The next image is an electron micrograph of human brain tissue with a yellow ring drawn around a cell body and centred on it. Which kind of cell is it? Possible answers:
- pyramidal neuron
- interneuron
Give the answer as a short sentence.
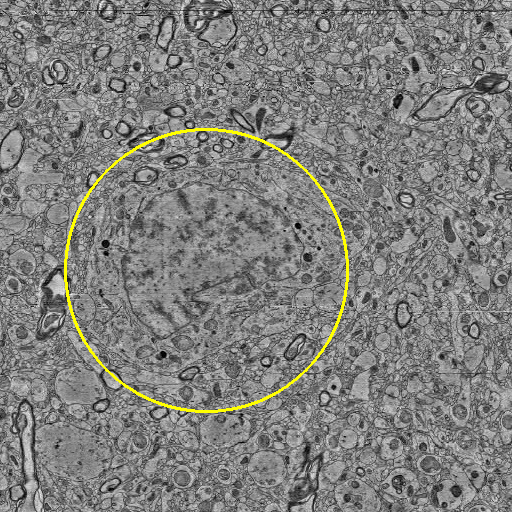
In the ring's centre is an interneuron.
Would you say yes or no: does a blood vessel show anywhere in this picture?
No, the picture includes no blood vessel.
